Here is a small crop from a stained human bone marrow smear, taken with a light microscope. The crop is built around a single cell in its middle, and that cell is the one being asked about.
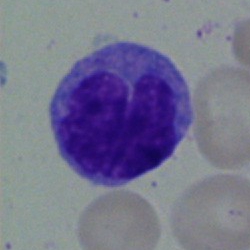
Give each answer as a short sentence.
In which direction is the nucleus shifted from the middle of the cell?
The nucleus is pushed toward the bottom of the cell.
